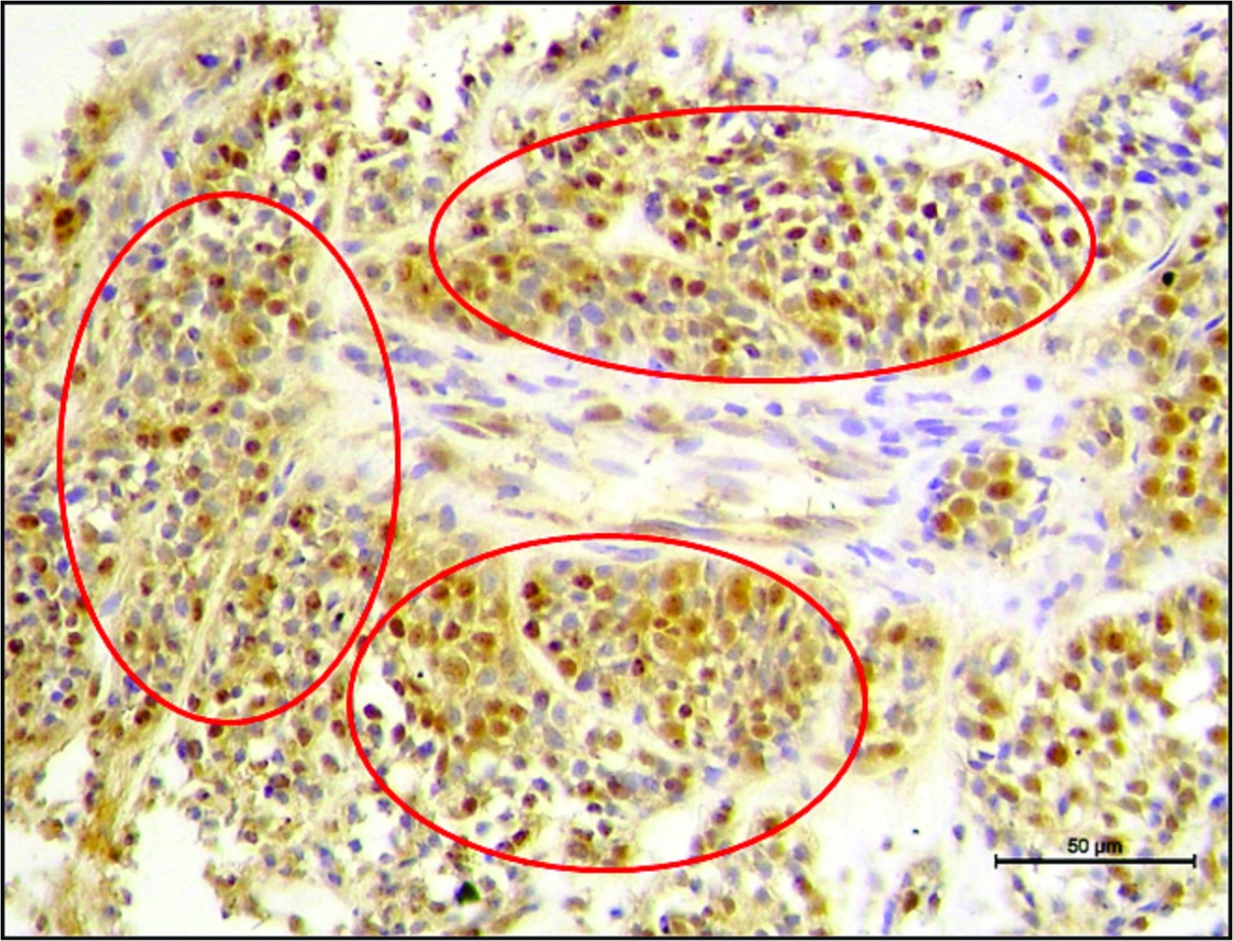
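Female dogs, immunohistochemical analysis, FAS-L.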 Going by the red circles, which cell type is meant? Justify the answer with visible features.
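Densely packed round to polygonal cells lie in nests inside the circles. Many cells in the circled nests show brown staining of the cytoplasm and nuclei. The nests are separated by a band of stroma made of elongated cells with spindle-shaped blue nuclei. That points to this answer: tumor cells.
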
